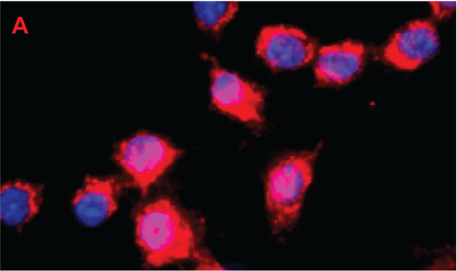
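Scattered single cultured cells, each with a large rounded or oval blue nucleus surrounded by a rim of bright red cytoplasm. The red cytoplasm has ragged, slightly spiky edges, and in many cells the nucleus appears pink where red overlaps blue. The cells lie apart from one another on a dark background.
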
